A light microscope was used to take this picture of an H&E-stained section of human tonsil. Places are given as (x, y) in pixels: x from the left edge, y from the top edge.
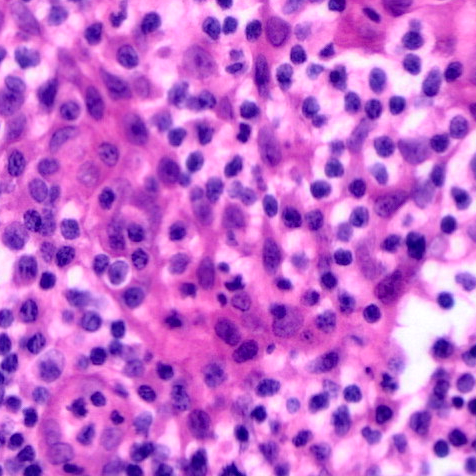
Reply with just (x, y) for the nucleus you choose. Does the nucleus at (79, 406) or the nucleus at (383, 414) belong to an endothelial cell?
(79, 406)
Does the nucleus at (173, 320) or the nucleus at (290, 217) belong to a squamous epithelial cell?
(173, 320)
